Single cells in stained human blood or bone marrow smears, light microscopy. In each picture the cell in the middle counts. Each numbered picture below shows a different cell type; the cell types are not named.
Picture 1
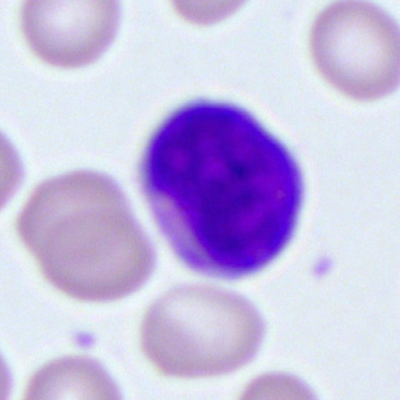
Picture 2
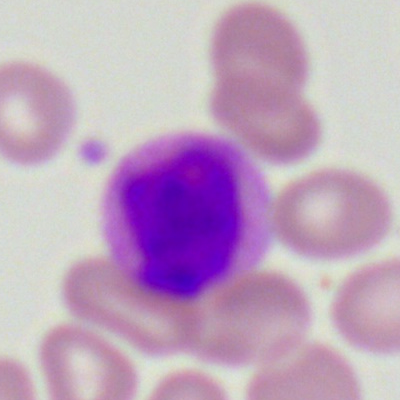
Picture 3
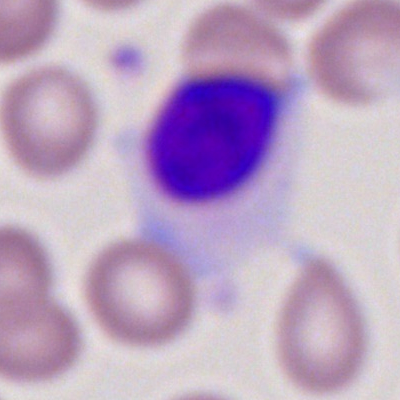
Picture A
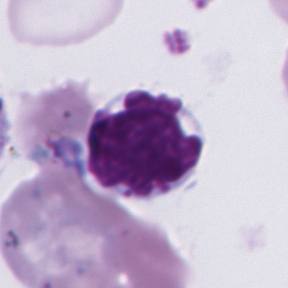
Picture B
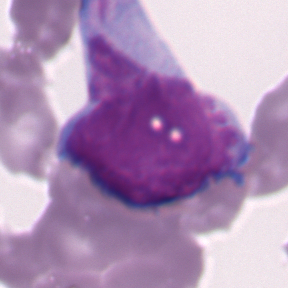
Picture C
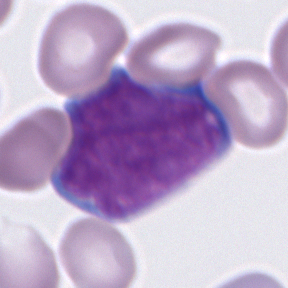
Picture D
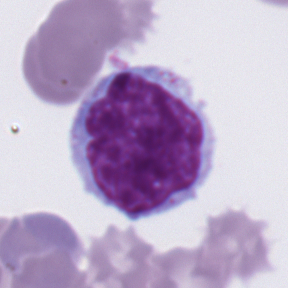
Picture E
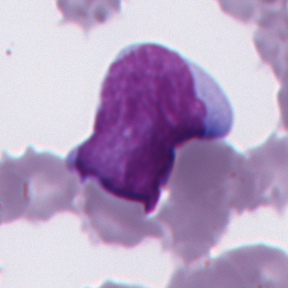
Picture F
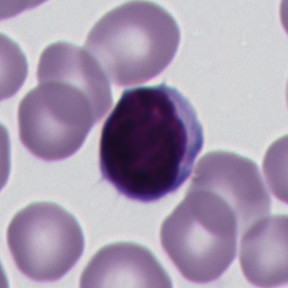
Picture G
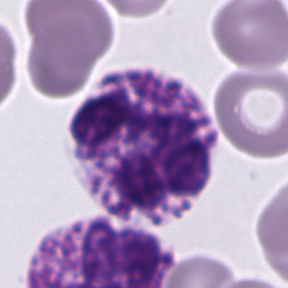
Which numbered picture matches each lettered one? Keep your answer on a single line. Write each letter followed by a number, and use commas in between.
A 3, B 1, C 1, D 3, E 1, F 3, G 2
